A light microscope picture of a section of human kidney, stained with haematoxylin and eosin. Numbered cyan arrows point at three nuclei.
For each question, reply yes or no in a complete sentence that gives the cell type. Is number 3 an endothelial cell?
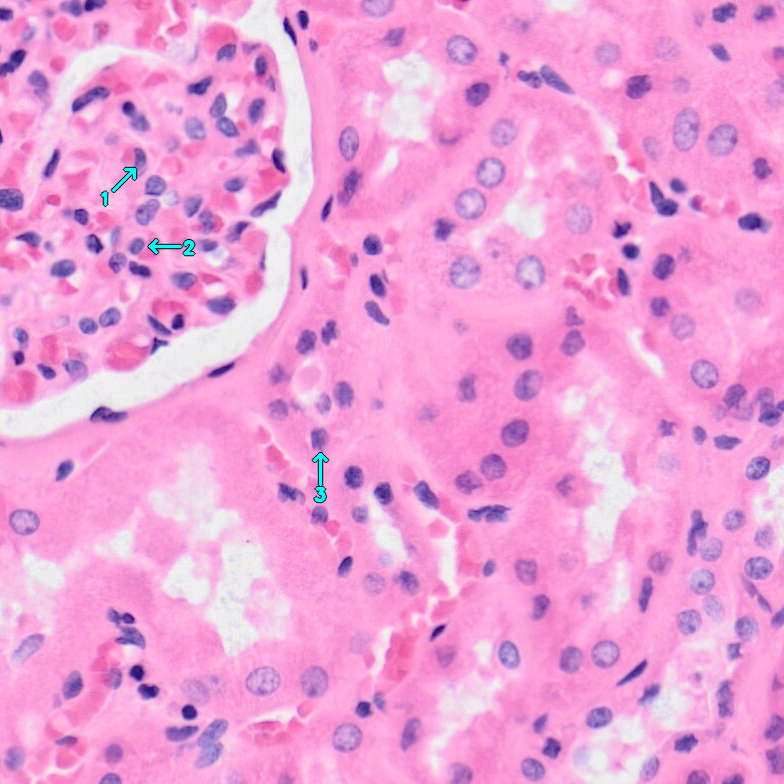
No, cell 3 is not an endothelial cell: it is a loop of Henle or distal tubule cell.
